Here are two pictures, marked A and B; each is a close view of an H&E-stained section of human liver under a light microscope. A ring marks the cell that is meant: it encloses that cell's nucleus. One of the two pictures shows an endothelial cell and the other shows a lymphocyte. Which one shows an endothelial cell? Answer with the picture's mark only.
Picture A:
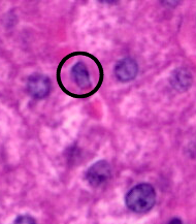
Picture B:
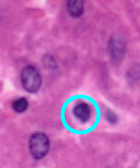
A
